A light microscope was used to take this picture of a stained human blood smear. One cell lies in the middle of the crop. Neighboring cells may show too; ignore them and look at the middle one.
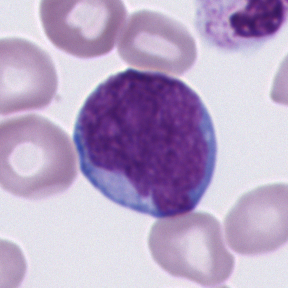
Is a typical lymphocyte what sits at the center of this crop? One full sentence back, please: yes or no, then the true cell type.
No, the cell in the centre is a myeloblast instead of a typical lymphocyte.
